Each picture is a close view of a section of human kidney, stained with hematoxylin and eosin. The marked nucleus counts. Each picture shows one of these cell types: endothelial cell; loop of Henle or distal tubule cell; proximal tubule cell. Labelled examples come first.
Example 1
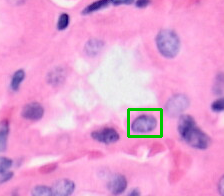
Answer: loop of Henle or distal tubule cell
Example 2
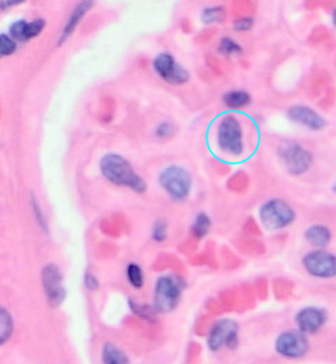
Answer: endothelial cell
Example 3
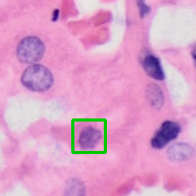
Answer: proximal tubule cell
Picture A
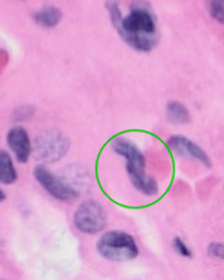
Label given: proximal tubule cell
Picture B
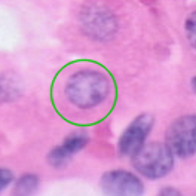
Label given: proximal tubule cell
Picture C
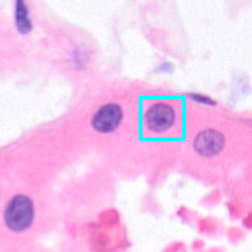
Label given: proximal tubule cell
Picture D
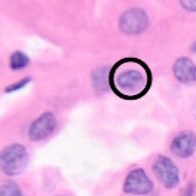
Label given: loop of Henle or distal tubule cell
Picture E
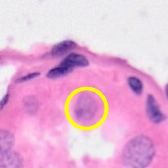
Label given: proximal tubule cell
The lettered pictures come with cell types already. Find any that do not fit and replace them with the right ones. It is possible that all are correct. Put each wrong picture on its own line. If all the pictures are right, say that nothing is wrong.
A: change proximal tubule cell to endothelial cell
